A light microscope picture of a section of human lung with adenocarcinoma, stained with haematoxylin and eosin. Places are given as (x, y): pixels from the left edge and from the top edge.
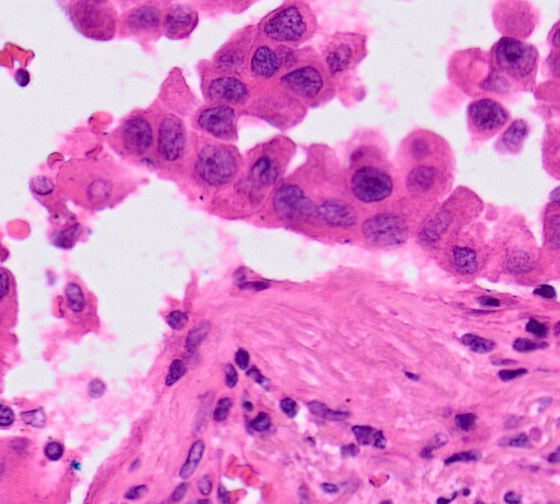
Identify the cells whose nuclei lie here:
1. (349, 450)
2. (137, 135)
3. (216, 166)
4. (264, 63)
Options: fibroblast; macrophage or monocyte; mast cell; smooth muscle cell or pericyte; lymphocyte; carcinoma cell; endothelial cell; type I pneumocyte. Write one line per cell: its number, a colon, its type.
1: lymphocyte
2: carcinoma cell
3: carcinoma cell
4: carcinoma cell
